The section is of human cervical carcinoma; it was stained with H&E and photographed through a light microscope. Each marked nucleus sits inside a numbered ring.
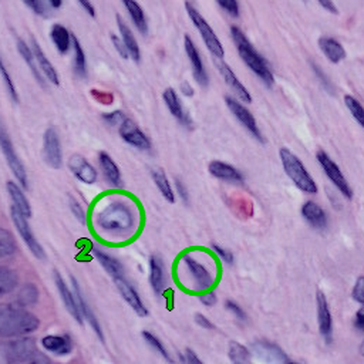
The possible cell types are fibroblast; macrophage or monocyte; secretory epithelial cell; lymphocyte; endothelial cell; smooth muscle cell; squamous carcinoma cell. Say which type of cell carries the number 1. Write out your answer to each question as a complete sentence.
Here, the cell given the number 1 is a fibroblast.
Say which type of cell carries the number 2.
Number 2 is placed on an endothelial cell here.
